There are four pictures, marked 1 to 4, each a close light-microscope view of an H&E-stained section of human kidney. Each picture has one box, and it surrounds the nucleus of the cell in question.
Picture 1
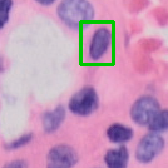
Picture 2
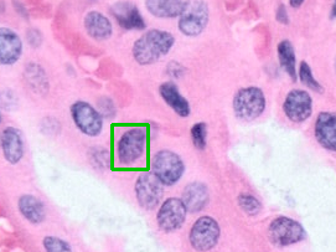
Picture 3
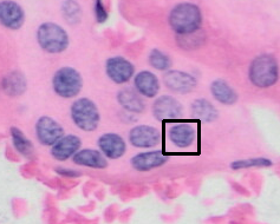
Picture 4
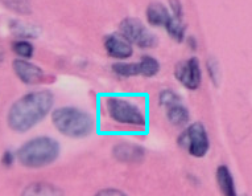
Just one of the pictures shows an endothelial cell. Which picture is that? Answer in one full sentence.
The picture with the endothelial cell is 4.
